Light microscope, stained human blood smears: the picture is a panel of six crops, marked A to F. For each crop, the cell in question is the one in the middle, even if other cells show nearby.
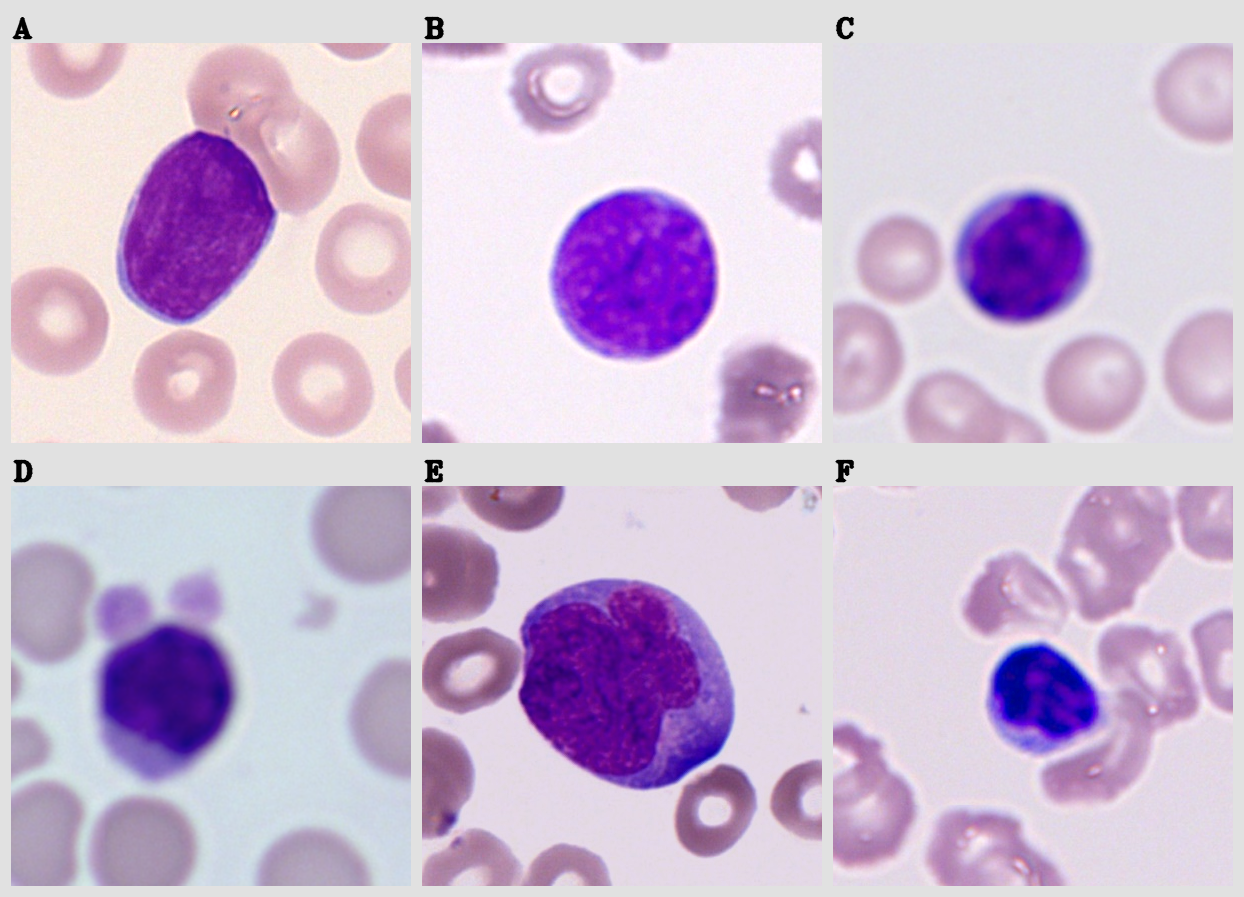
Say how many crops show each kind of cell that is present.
blast: 3
lymphocyte: 3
